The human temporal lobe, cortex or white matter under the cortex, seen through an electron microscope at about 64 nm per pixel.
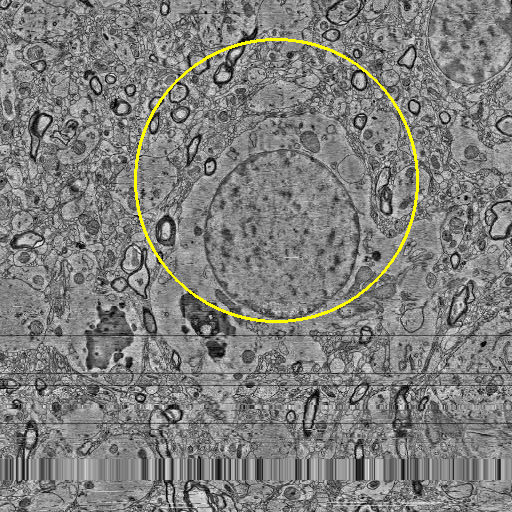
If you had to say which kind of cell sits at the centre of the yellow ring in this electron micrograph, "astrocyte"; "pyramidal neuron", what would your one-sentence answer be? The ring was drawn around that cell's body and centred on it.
The cell sitting at the centre of the ring is an astrocyte.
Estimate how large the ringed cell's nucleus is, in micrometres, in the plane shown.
Approximately 11 micrometers across in this plane.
